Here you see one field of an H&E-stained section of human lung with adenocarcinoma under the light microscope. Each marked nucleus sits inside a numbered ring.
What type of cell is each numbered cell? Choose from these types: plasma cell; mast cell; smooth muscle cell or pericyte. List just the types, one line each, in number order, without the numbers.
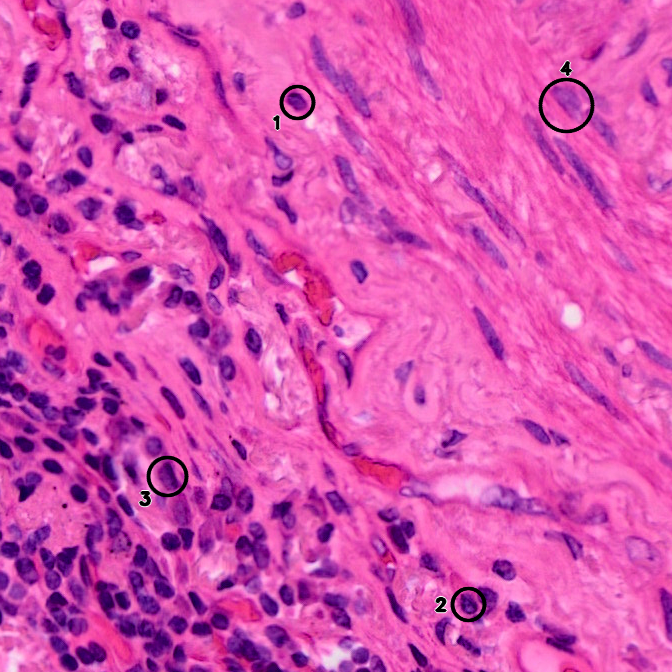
mast cell
mast cell
plasma cell
smooth muscle cell or pericyte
